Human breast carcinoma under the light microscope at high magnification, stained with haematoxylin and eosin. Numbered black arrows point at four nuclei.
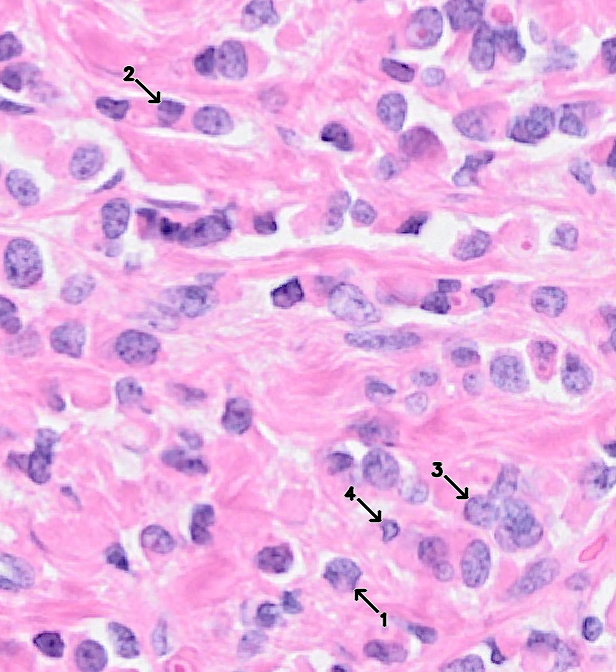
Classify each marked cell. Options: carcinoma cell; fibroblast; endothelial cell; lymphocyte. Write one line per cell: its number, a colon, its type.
1: carcinoma cell
2: carcinoma cell
3: carcinoma cell
4: endothelial cell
